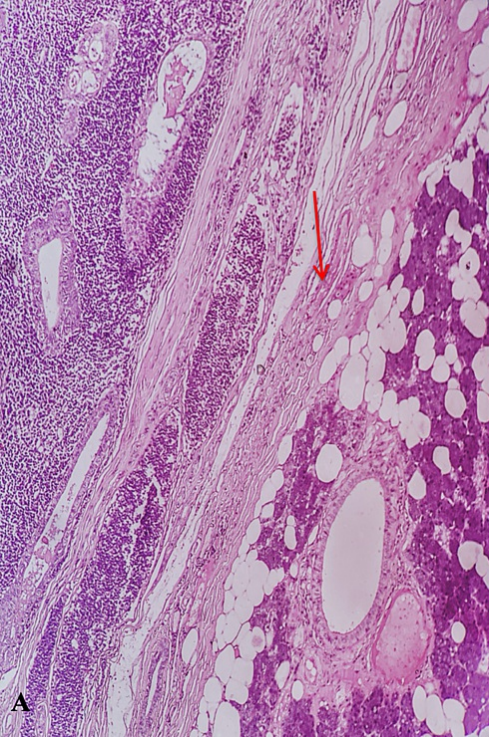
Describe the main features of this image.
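A pale fibrous band crosses the field and separates two kinds of tissue. On one side are closely packed purple salivary gland acini with interspersed fat vacuoles and a duct. On the other side is dense, darkly cellular tissue containing elongated epithelial-lined spaces.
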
